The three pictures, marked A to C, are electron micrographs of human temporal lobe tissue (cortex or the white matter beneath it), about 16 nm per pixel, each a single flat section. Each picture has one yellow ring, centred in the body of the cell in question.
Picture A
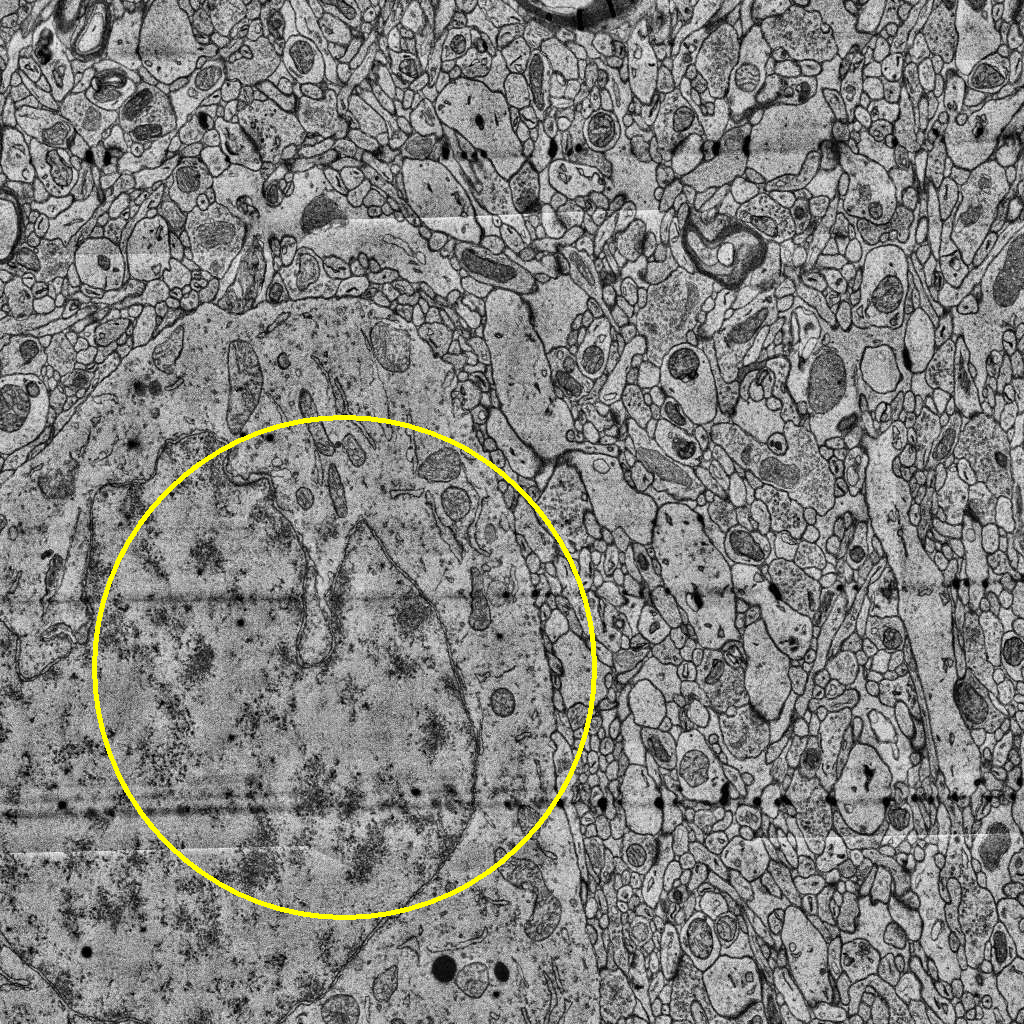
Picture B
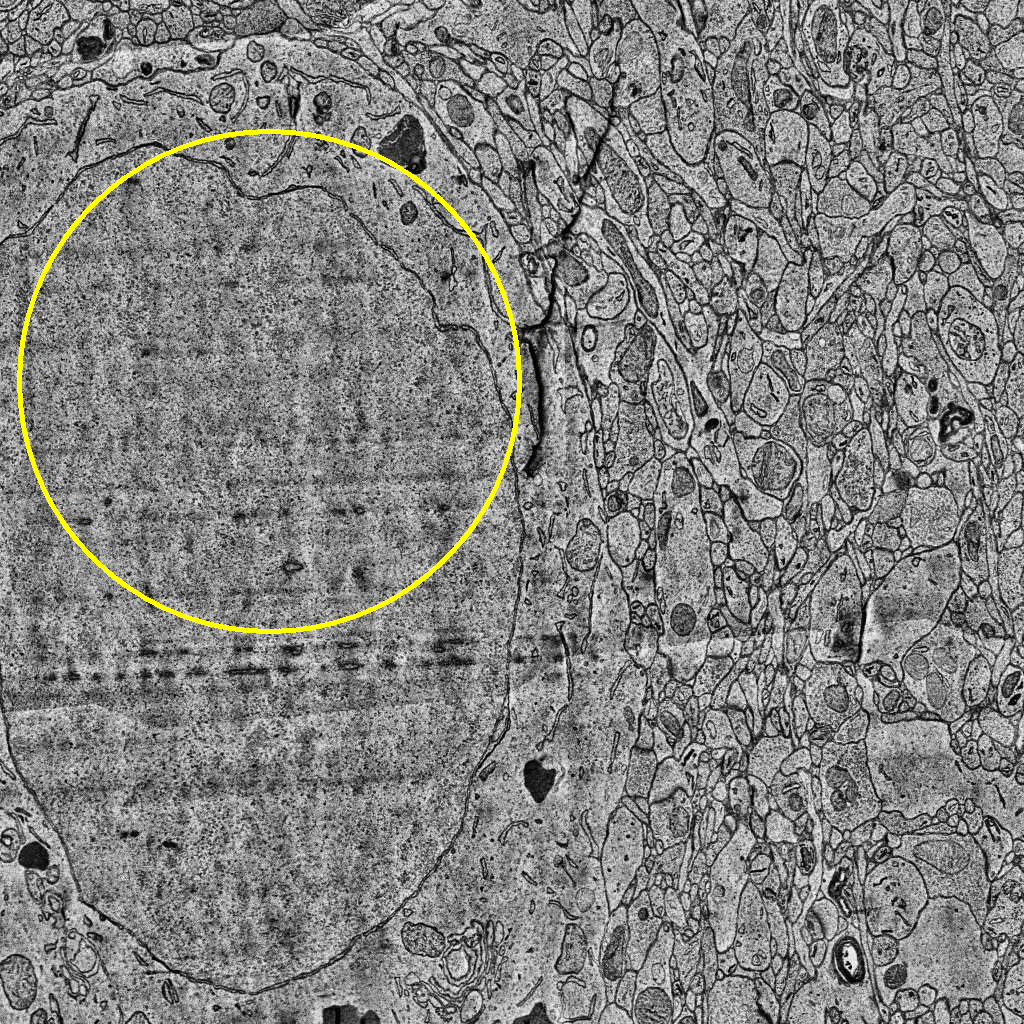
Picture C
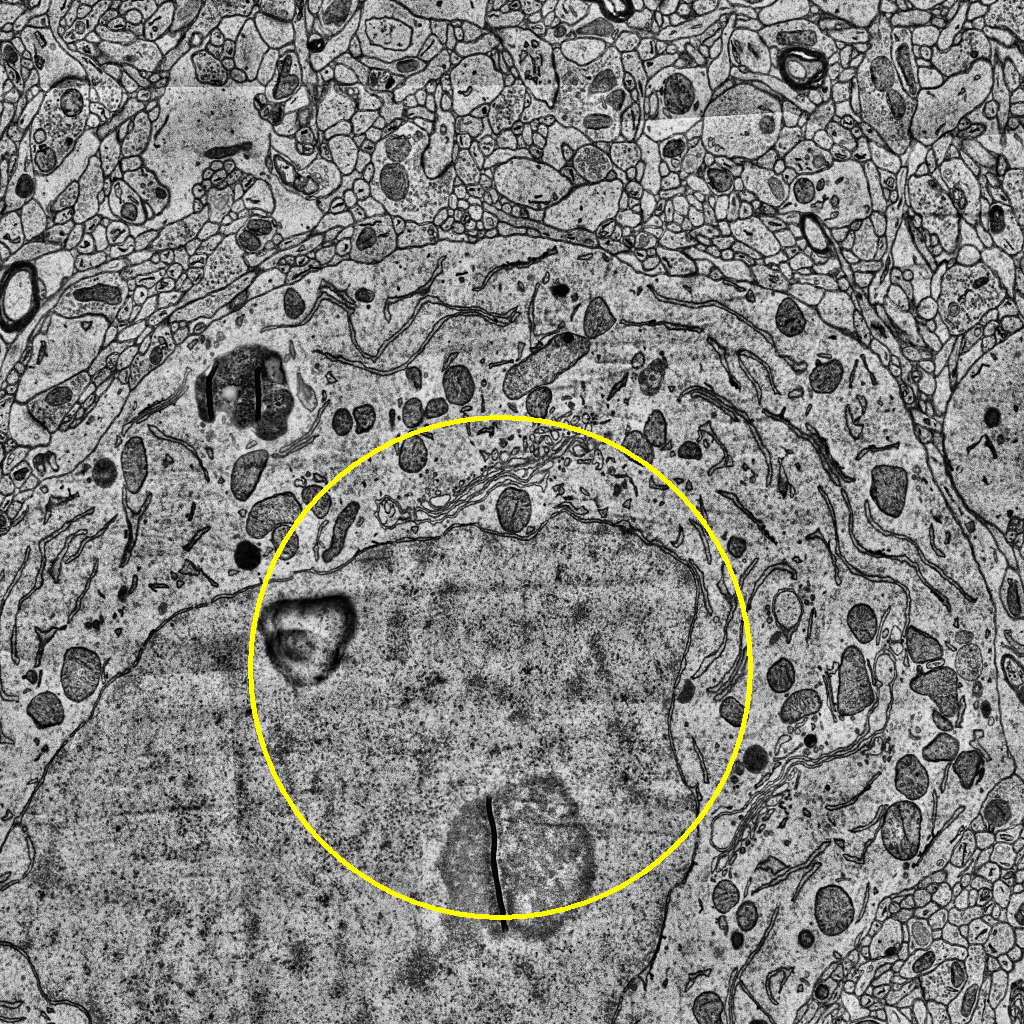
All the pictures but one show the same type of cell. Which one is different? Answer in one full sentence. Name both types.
All pictures except B show interneurons; picture B shows a pyramidal neuron.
